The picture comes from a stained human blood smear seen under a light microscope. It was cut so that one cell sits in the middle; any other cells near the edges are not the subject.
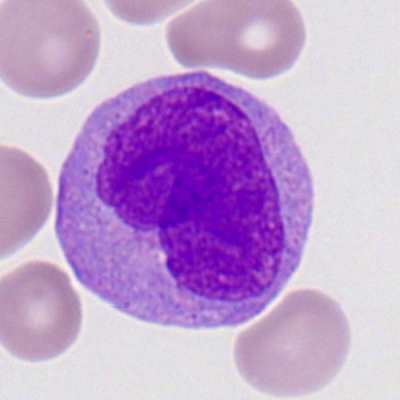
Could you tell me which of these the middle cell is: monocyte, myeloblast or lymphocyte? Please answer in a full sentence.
The cell that lies at the centre of the crop is a myeloblast.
